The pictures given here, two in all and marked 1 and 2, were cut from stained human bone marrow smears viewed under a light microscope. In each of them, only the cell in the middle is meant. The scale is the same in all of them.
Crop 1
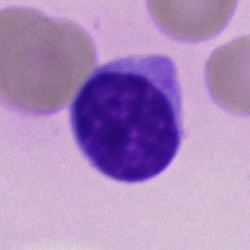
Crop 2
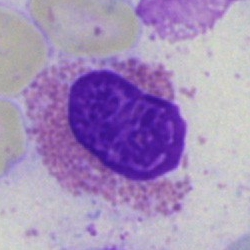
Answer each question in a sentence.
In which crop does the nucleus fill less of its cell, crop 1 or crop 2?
It is the cell in crop 2 that is filled less by its nucleus.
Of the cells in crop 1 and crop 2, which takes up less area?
Smaller is the cell in crop 1, and the other is about 1.5 times as large in area.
